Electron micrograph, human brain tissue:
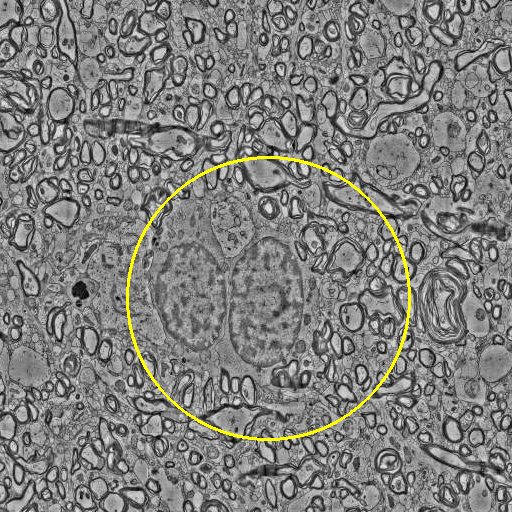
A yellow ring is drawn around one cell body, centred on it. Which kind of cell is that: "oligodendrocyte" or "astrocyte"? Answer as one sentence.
It is an oligodendrocyte at the centre of the ring.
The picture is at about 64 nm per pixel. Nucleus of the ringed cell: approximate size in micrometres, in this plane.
About 8 by 5 micrometres in this plane.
